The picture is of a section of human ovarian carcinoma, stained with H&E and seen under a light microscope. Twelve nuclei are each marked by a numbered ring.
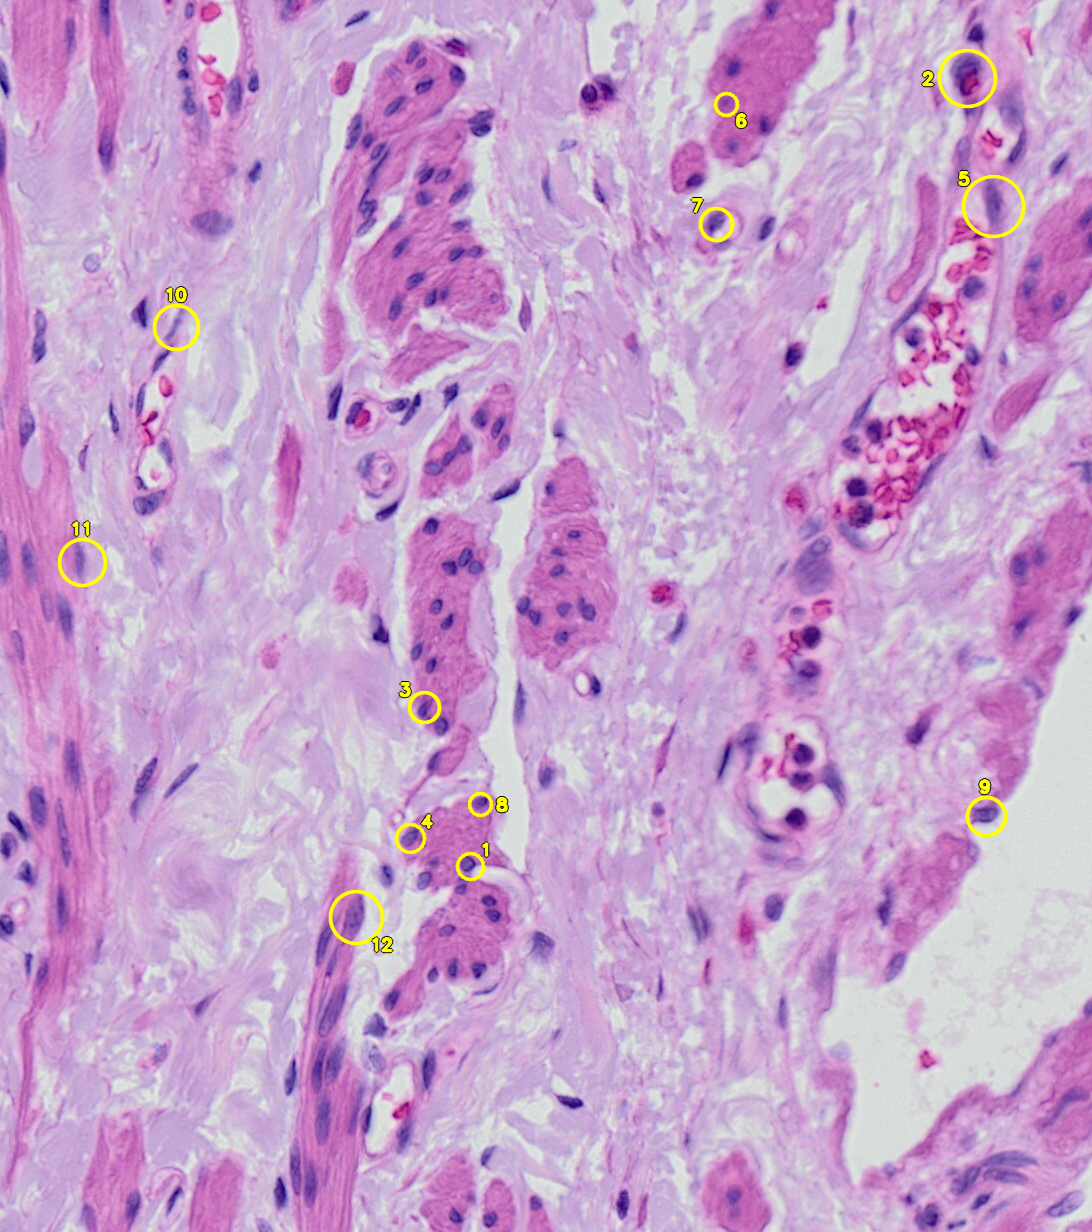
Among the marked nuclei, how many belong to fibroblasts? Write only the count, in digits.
1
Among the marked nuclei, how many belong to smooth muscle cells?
7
